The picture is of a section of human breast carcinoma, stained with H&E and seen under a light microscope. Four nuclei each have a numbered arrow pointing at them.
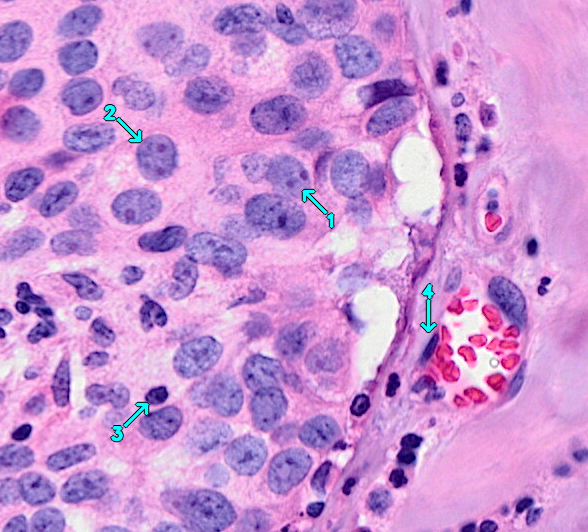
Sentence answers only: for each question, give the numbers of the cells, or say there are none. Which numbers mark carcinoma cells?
The cells with the numbers 1 and 2 are carcinoma cells.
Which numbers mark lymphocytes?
Only cell 3 qualifies as a lymphocyte among the numbered cells.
